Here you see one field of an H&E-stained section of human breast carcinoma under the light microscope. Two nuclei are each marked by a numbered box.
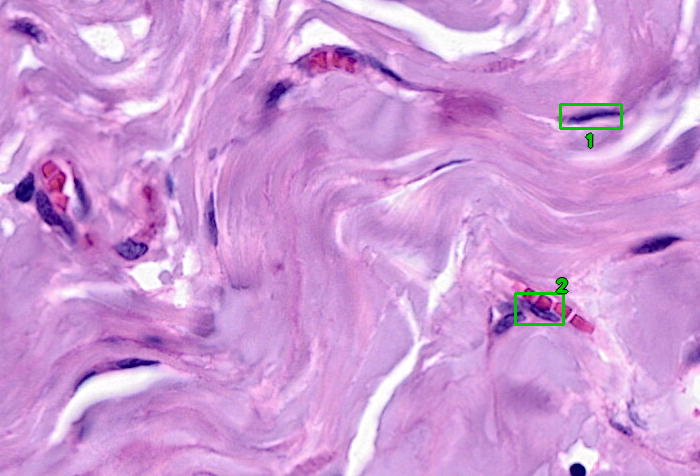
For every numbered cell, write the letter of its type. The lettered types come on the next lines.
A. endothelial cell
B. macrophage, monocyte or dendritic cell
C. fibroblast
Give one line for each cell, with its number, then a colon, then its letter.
1: C
2: A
